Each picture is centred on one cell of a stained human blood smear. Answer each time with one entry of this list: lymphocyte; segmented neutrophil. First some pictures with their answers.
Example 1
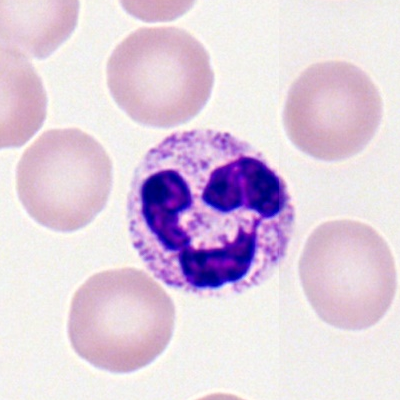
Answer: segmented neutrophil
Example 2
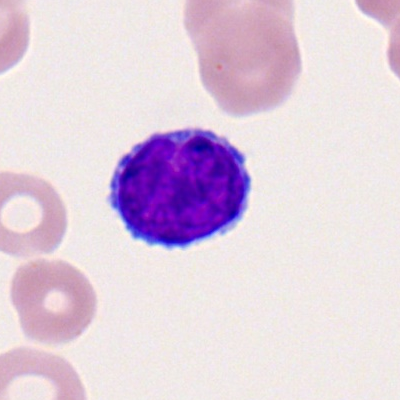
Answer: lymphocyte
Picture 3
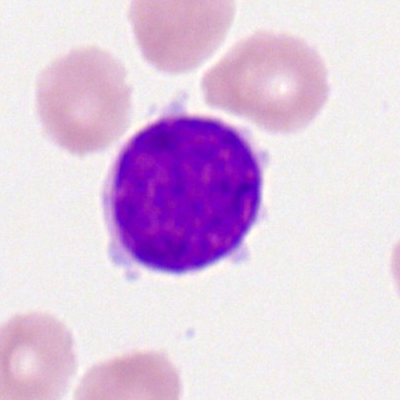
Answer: lymphocyte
